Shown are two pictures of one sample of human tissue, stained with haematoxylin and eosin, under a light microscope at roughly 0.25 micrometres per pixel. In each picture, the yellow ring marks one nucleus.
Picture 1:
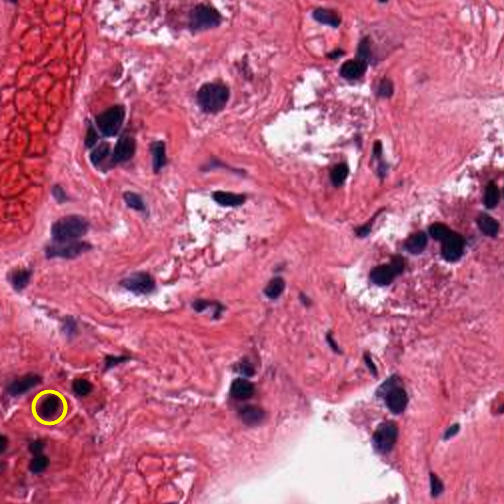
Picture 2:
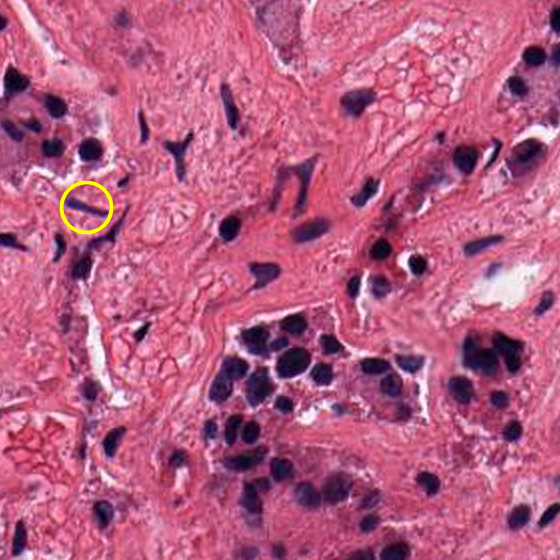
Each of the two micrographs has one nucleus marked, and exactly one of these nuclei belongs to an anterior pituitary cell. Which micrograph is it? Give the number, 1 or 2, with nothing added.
1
